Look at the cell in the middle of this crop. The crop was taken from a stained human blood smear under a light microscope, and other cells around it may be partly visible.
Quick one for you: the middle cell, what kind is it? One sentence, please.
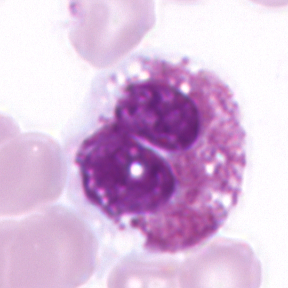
Here the centrally located cell is an eosinophil.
